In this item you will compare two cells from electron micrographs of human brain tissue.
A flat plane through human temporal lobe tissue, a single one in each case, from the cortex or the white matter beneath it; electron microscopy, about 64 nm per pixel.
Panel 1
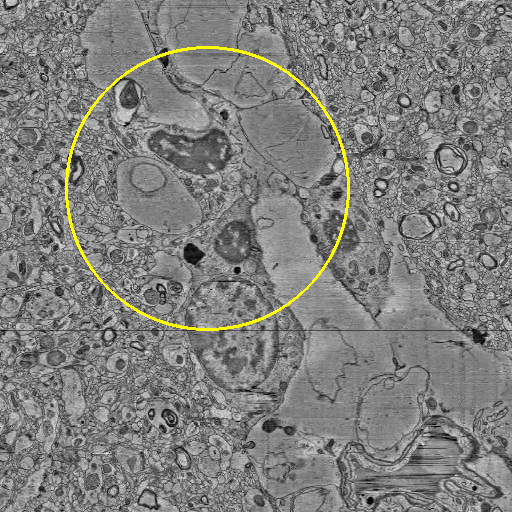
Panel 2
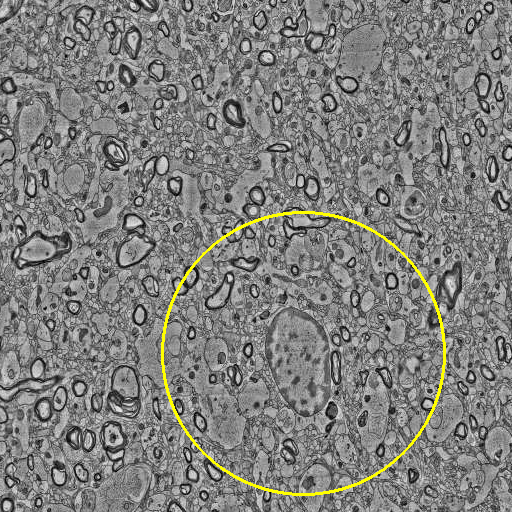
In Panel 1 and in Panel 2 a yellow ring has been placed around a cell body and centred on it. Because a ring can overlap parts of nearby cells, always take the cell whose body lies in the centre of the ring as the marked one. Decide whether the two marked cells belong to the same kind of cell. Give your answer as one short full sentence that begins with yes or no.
Yes, the two marked cells belong to the same kind of cell.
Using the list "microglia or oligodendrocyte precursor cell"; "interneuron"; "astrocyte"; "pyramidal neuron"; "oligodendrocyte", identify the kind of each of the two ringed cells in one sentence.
Both pictures show a microglial cell or oligodendrocyte precursor cell at the centre of the ring.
